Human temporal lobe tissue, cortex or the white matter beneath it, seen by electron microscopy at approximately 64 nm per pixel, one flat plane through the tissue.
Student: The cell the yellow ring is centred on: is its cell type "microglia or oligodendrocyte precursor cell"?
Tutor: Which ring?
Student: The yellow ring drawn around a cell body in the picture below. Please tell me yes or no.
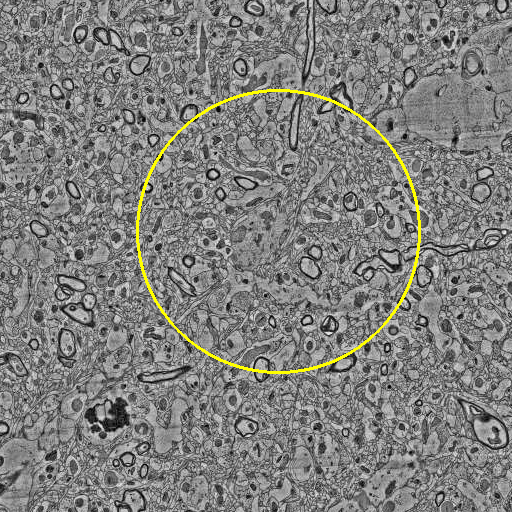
no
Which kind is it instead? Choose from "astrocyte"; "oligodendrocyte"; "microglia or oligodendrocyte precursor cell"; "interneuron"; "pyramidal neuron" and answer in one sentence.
The cell ringed in the picture is an oligodendrocyte.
